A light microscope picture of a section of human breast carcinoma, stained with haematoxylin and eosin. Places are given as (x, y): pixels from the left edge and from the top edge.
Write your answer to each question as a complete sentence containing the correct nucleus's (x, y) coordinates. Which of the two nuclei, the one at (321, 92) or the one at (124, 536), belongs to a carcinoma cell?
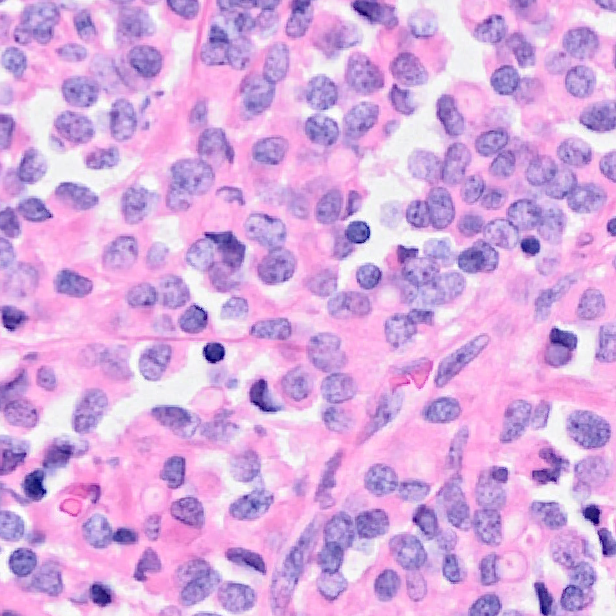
The nucleus at (321, 92) is attributed to a carcinoma cell, unlike the other nucleus.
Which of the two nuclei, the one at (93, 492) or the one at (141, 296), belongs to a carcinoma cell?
Of the two nuclei, it is the one at (141, 296) that lies within a carcinoma cell.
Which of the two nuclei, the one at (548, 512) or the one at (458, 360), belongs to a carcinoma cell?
Between the pair, the nucleus at (548, 512) belongs to a carcinoma cell.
